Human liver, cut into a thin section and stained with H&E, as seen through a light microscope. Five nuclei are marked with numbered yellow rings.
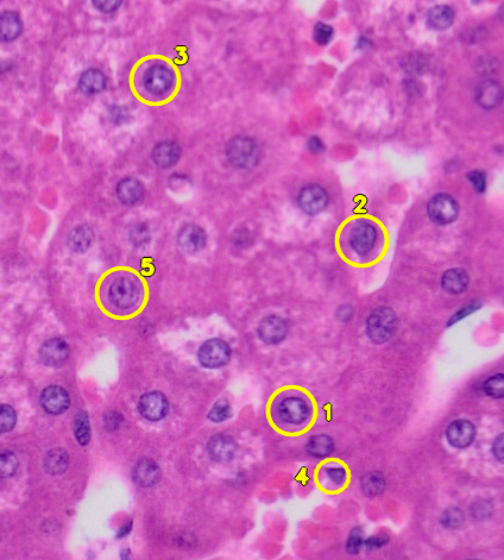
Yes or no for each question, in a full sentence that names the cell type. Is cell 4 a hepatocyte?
No, it is a fibroblast or stellate cell, rather than a hepatocyte, that carries number 4.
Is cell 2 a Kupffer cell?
Yes, the numbered cell 2 is a Kupffer cell.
